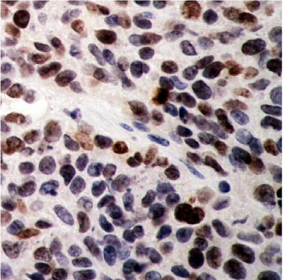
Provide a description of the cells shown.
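Here again is tumour tissue, a crowded sheet of tumour cells with scant cytoplasm and large, rounded nuclei of varying size. A few more elongated, spindle-shaped blue nuclei run through the field, likely thin strands of supporting tissue between the tumour cells. Numerous nuclei are stained brown, from pale tan to dark brown, interspersed with blue nuclei; the brown ones are spread throughout the field.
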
